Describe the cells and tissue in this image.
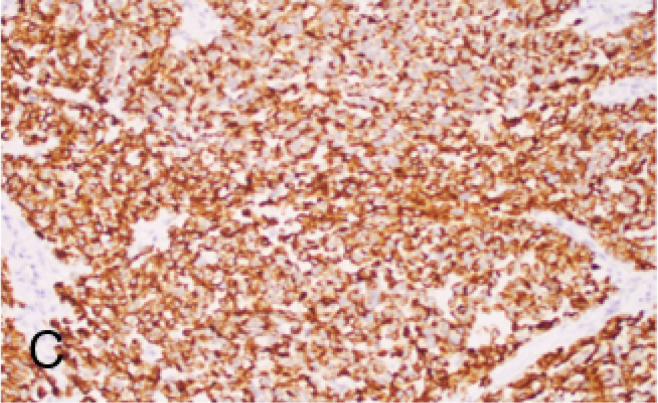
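This shows sheets of crowded tumor cells. Most of them take up a strong brown stain in their cytoplasm, outlining each cell. The pale, unstained fibrous strands between the nests stand out clearly against the brown tumor.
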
